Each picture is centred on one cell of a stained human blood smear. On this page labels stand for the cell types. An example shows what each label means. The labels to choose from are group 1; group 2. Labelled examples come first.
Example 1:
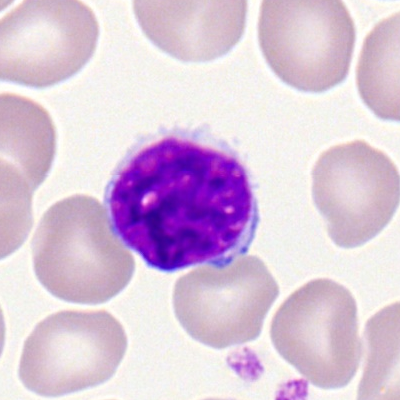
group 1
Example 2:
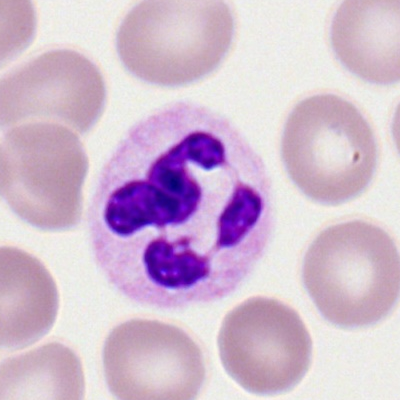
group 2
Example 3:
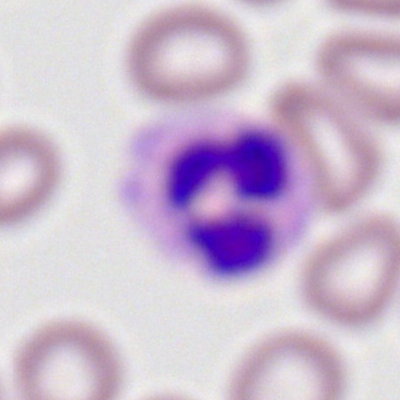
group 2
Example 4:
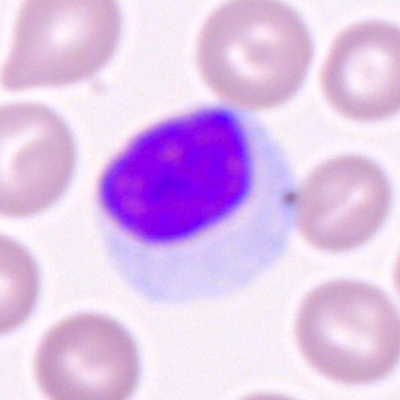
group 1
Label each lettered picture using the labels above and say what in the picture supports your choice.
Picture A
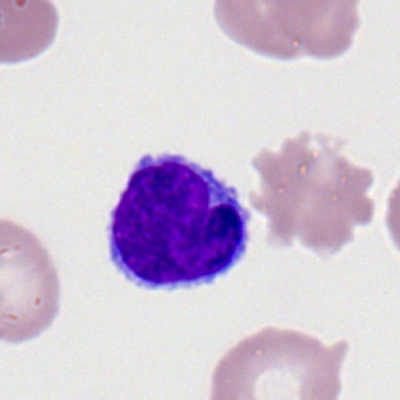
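group 1. Reason: The cytoplasm is a scant pale blue rim around the nucleus.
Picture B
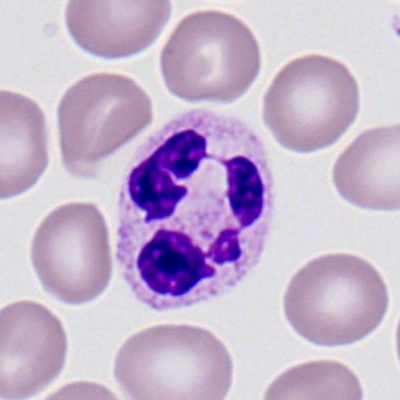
group 2. Reason: The nucleus is divided into several separate lobes.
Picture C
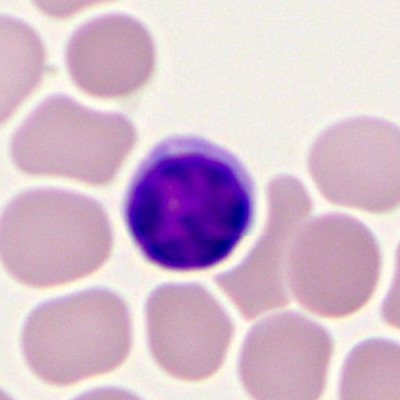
group 1. Reason: The cytoplasm is a scant pale blue rim, widest along the top of the cell.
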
